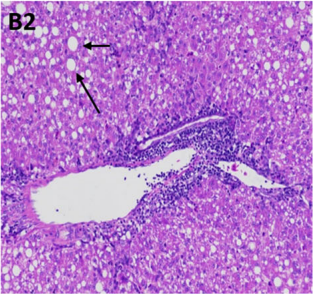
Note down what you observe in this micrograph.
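This liver section shows cords of hepatocytes around a large, irregular, empty vessel lumen. The hepatocytes have pink cytoplasm and round, purple nuclei. In the upper left, many hepatocytes contain round, sharply outlined, clear vacuoles of different sizes, some larger than a nucleus, giving the tissue a bubbly, open appearance. Around the vessel the tissue is crowded with small, dark-staining round nuclei, forming a dense cuff of cells along its wall. Away from the vacuolated area the cell cords are more compact and evenly pink.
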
